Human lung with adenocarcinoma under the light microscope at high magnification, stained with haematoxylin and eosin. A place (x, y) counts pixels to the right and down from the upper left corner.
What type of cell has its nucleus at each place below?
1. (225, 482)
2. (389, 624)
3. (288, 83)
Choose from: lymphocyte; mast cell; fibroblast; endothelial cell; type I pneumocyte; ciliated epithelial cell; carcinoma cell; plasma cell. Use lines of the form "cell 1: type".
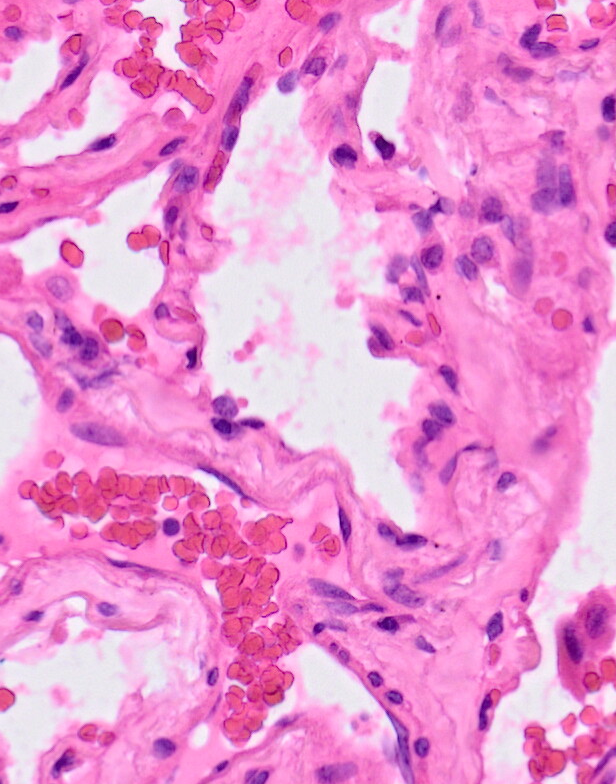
cell 1: endothelial cell
cell 2: plasma cell
cell 3: type I pneumocyte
